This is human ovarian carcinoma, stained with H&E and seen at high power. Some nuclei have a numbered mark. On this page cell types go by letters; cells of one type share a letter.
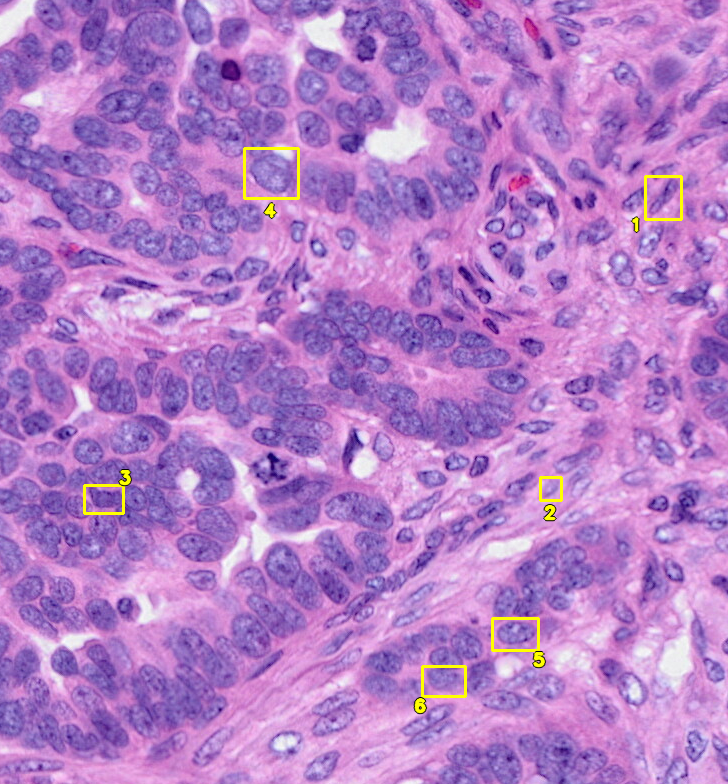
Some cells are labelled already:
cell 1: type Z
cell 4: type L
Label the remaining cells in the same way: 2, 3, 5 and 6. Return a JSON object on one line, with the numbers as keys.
{"2": "type Z", "3": "type L", "5": "type L", "6": "type L"}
